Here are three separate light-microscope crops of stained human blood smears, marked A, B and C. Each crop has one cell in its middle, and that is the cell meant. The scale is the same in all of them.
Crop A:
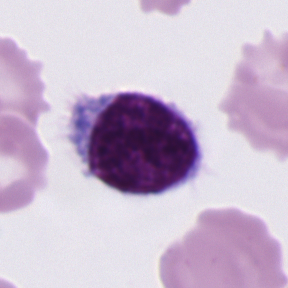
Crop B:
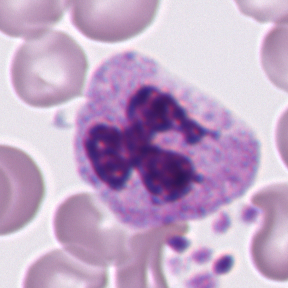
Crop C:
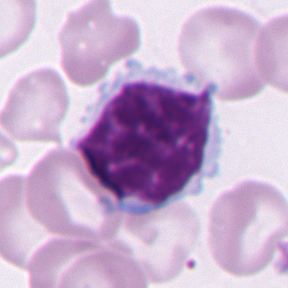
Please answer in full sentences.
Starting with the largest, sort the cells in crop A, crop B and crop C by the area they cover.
Largest first: B, C, A.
